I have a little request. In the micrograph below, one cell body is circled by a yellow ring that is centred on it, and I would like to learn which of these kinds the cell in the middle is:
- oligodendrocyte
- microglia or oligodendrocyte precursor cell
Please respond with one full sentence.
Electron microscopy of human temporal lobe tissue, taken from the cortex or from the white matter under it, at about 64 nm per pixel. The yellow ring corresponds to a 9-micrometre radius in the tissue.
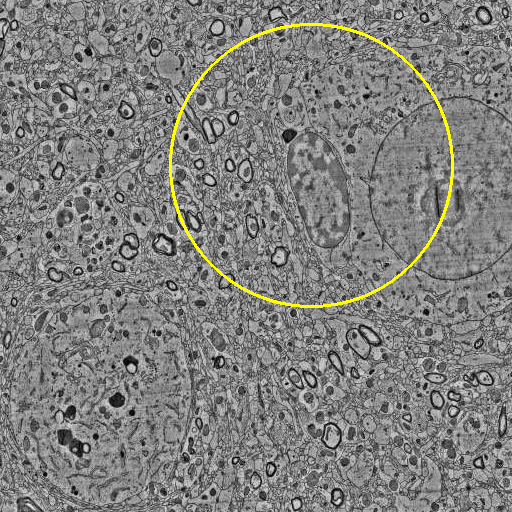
The cell sitting in the middle of the yellow ring in the micrograph is a microglial cell or oligodendrocyte precursor cell.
